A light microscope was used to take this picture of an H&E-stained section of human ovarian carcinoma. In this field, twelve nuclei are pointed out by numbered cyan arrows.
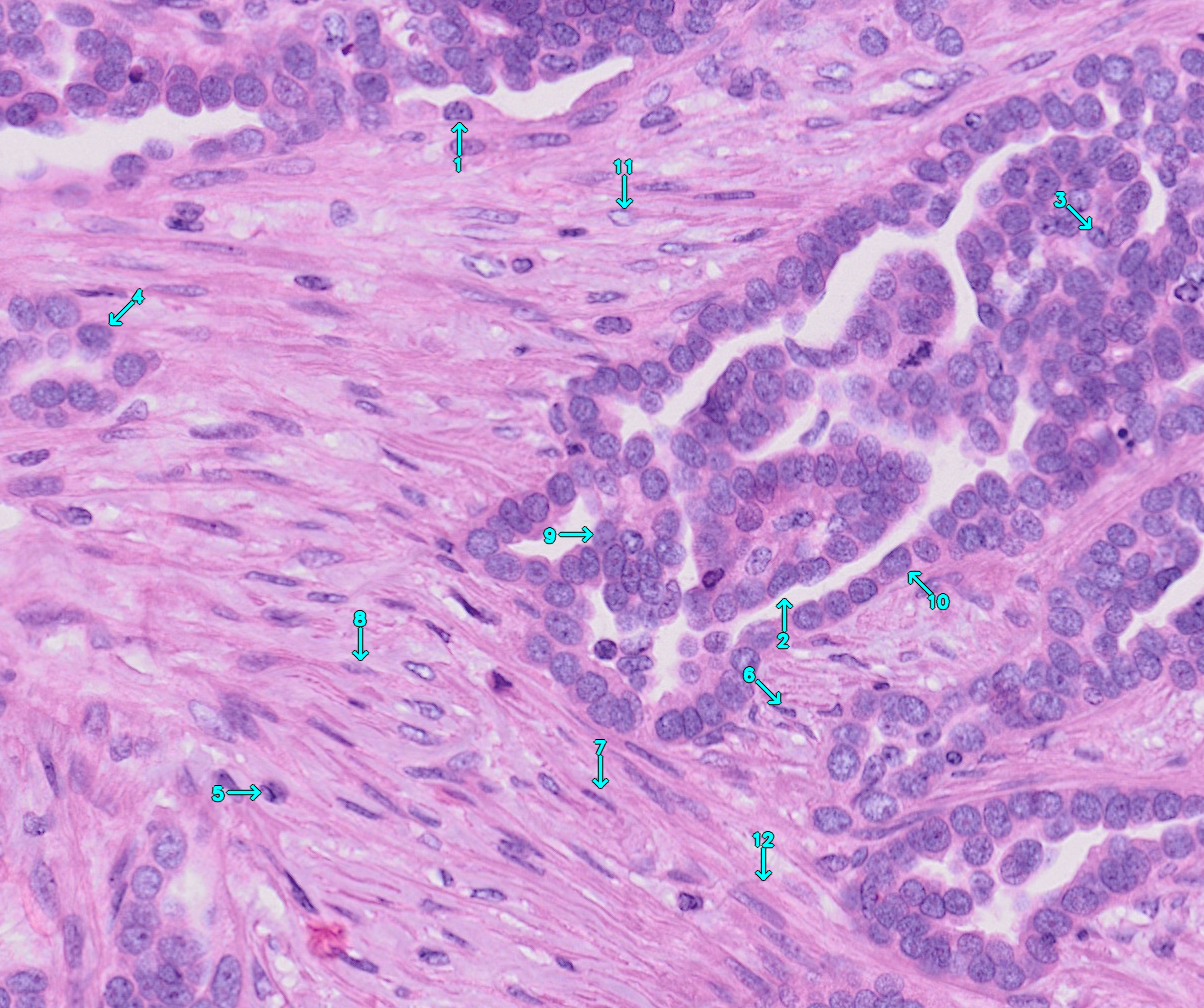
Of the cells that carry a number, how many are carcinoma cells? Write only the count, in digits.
4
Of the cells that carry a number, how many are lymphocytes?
1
